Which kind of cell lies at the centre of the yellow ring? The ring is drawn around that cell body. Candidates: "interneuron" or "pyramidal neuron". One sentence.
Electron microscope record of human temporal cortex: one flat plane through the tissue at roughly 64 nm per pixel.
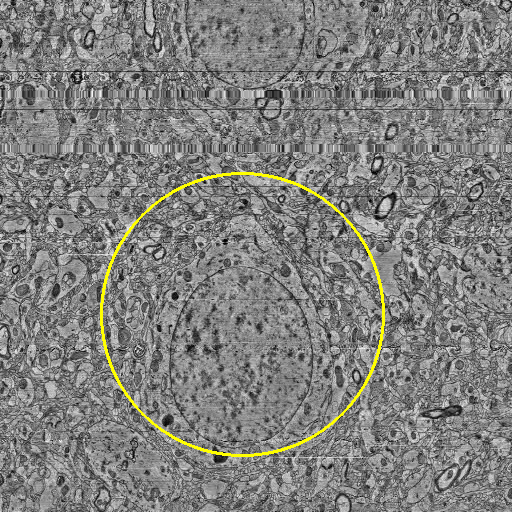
Lying at the centre of the ring is a pyramidal neuron.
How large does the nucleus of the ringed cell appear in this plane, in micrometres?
Roughly 12 micrometres by 10 micrometres, in this plane.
